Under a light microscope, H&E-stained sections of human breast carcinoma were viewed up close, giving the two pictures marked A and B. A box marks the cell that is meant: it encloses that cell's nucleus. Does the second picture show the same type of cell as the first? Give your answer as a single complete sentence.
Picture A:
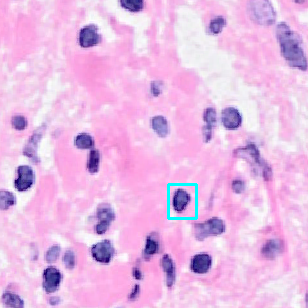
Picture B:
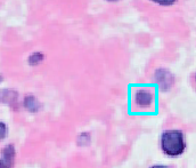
Yes, both cells are lymphocytes.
